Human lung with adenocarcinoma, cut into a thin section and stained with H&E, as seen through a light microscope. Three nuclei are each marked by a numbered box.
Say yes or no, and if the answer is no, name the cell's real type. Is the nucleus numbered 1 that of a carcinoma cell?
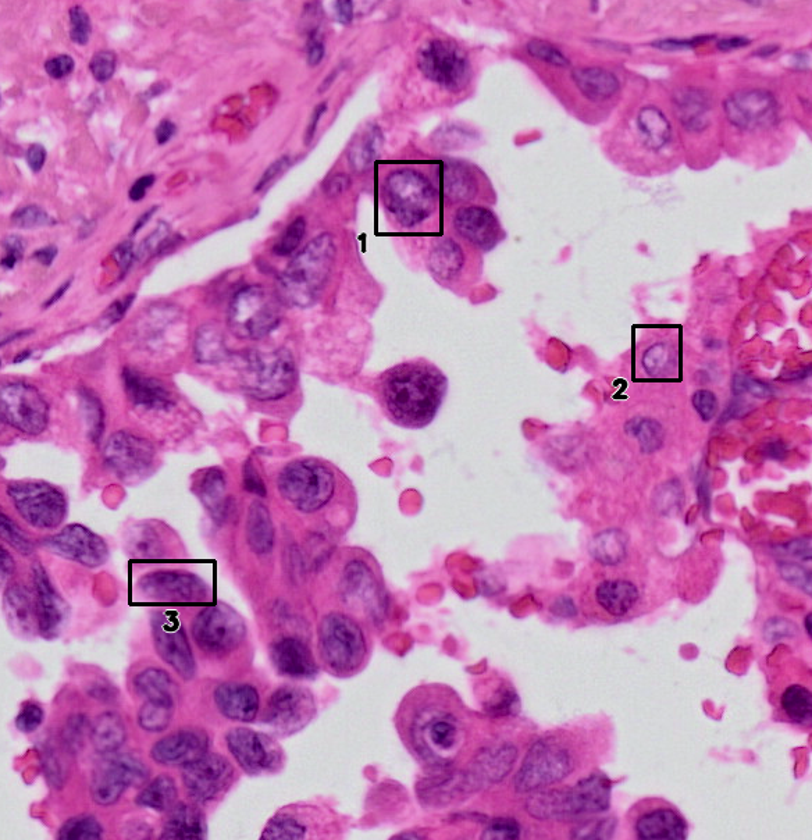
Yes.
